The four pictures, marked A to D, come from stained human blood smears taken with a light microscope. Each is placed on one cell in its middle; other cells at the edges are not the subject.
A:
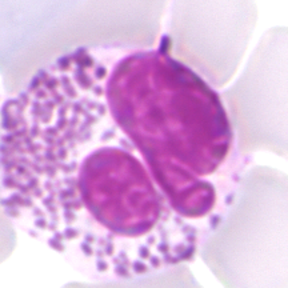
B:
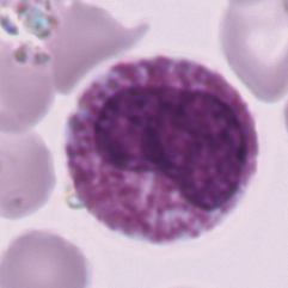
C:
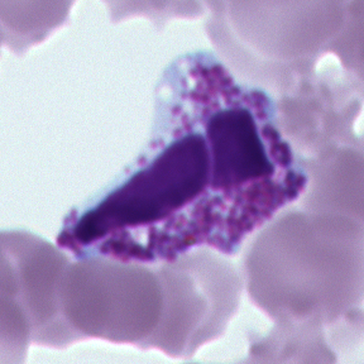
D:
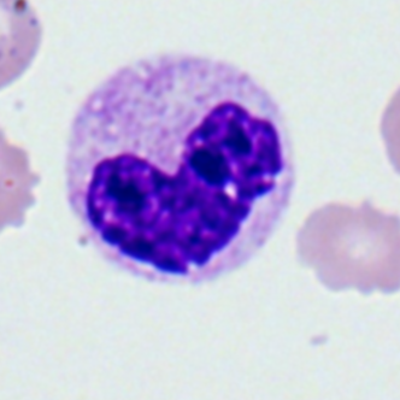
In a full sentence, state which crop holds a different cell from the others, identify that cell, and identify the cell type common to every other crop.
The crop that differs is D, which is a band neutrophil; the rest are eosinophils.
